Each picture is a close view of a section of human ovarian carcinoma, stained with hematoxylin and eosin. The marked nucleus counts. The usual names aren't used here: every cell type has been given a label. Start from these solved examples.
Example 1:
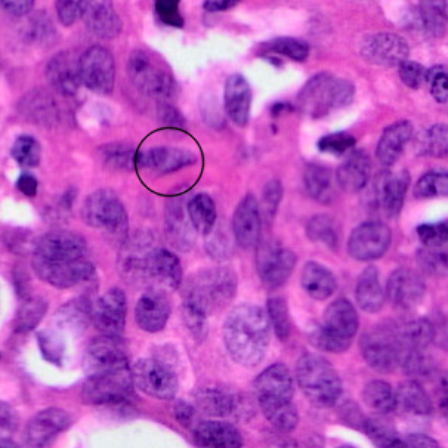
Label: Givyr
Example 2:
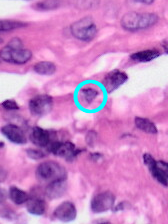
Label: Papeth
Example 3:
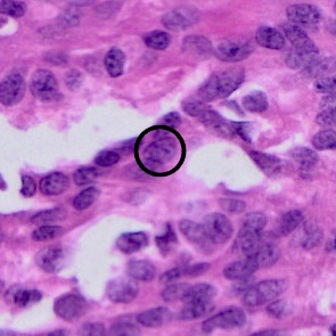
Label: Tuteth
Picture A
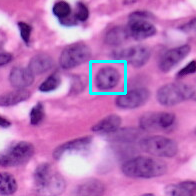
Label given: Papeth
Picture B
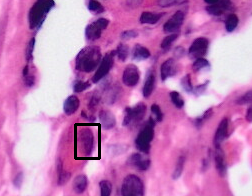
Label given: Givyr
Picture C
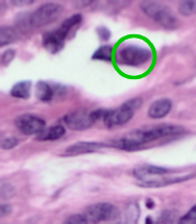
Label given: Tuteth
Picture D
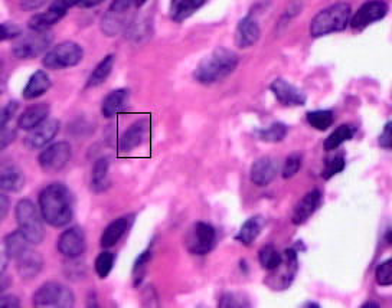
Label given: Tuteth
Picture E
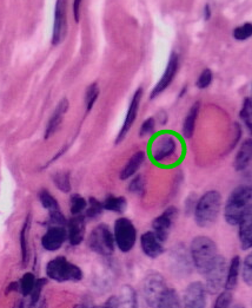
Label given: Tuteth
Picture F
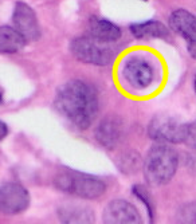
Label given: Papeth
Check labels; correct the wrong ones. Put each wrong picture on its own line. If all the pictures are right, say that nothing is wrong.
D: change Tuteth to Givyr
E: change Tuteth to Givyr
